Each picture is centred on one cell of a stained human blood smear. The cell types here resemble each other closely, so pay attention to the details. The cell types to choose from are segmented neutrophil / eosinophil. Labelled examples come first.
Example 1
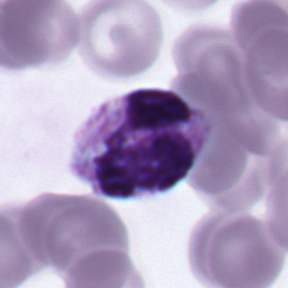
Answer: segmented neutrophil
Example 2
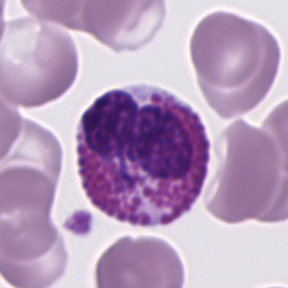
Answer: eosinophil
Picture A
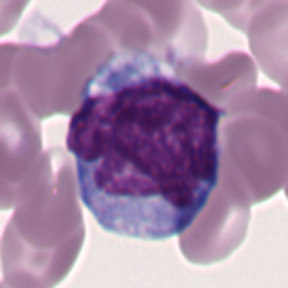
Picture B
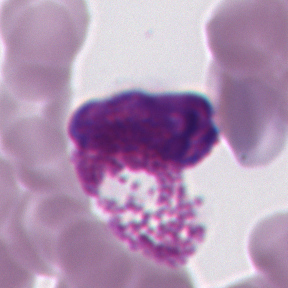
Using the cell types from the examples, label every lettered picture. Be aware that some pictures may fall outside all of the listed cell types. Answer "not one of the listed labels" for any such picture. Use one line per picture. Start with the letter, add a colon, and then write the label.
A: not one of the listed labels
B: eosinophil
